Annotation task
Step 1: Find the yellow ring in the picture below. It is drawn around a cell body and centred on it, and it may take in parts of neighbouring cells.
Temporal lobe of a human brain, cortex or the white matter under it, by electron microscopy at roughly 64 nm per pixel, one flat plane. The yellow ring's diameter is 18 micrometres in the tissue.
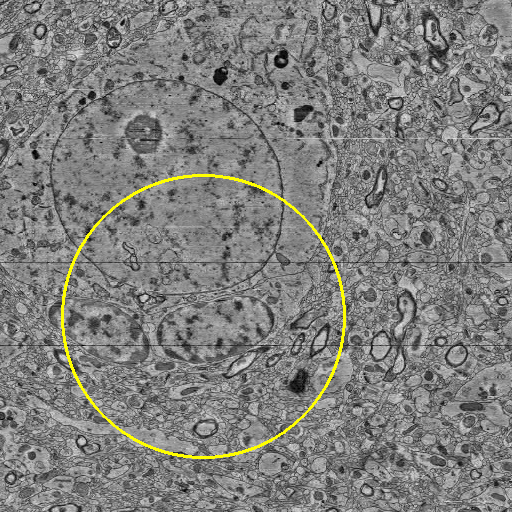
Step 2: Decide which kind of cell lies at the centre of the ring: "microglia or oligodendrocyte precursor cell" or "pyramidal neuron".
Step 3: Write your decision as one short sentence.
The kind of cell at the ring's centre is a microglial cell or oligodendrocyte precursor cell.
